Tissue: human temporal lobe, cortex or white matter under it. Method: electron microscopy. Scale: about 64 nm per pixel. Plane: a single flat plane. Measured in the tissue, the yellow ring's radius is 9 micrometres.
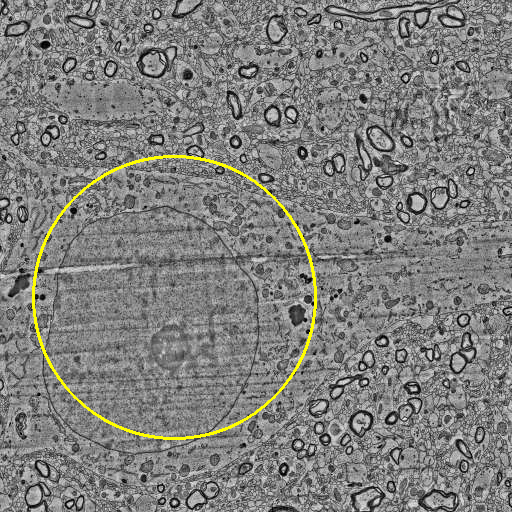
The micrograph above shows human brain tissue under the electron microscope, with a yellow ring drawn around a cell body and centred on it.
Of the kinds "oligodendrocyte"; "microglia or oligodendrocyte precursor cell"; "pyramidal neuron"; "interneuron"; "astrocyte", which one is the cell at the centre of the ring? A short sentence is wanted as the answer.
The one at the centre of the ring is a pyramidal neuron.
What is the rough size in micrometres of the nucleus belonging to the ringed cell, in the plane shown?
Roughly 16 by 13 micrometres in this plane, for the nucleus of the ringed cell.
